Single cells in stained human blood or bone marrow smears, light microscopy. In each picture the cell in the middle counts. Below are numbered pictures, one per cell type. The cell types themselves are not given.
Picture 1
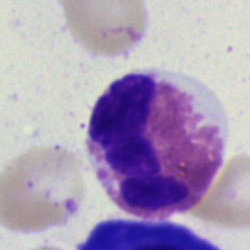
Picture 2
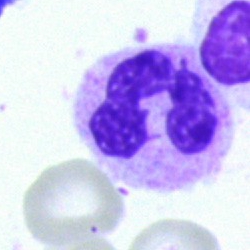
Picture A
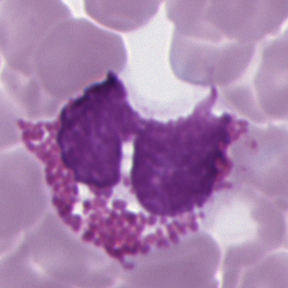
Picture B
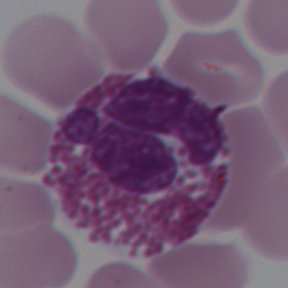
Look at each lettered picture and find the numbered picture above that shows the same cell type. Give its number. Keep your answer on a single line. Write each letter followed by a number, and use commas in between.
A 1, B 1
